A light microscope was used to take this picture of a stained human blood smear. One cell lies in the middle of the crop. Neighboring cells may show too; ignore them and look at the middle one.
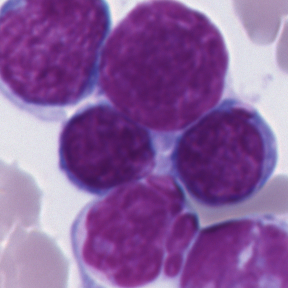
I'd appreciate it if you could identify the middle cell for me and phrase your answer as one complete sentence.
The cell of interest, in the center, is a myeloblast.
